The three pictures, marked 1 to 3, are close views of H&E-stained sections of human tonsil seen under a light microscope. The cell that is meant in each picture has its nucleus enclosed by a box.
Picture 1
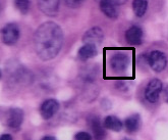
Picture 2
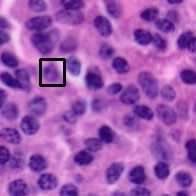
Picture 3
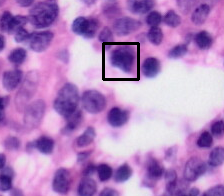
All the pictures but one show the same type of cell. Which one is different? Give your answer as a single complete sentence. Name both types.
Picture 3 differs, because its cell is a proliferating B cell and the rest are plasma cells.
